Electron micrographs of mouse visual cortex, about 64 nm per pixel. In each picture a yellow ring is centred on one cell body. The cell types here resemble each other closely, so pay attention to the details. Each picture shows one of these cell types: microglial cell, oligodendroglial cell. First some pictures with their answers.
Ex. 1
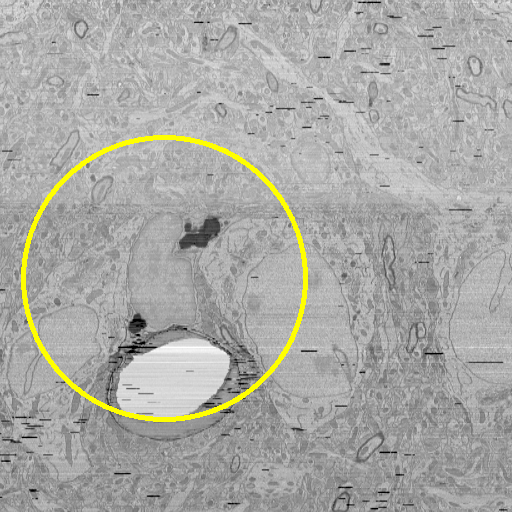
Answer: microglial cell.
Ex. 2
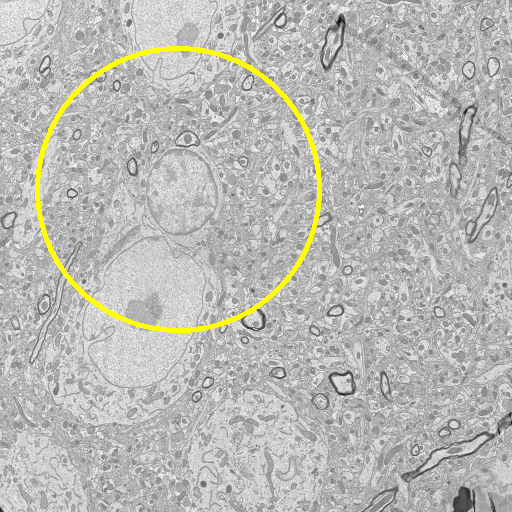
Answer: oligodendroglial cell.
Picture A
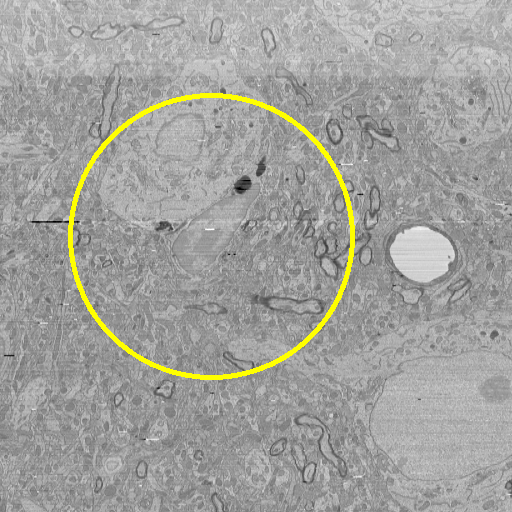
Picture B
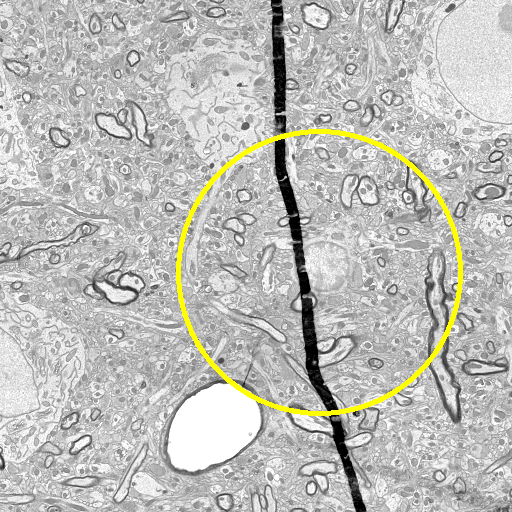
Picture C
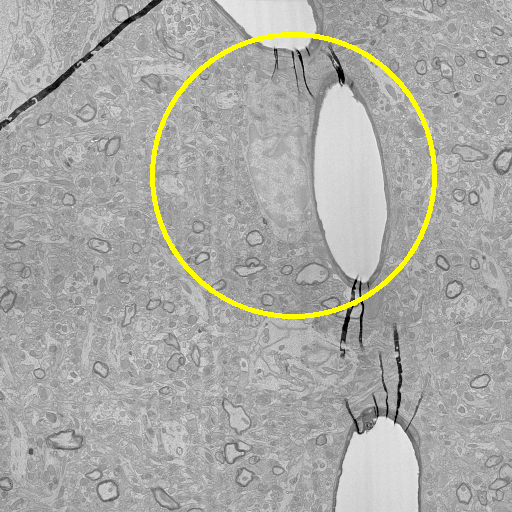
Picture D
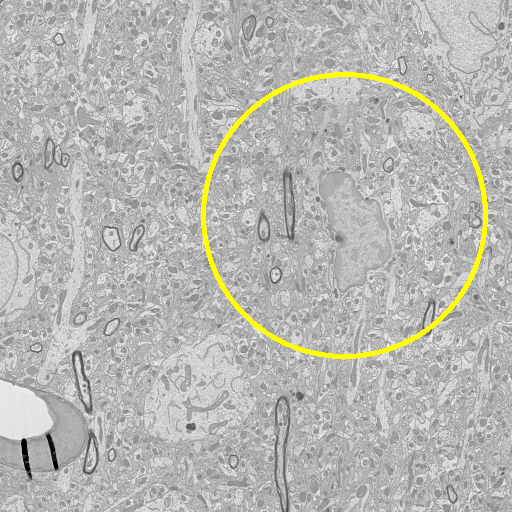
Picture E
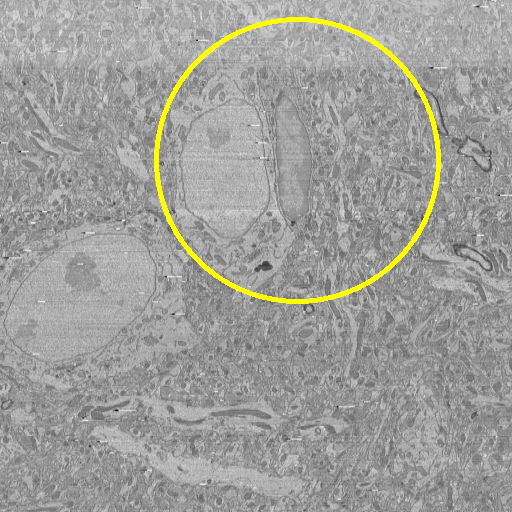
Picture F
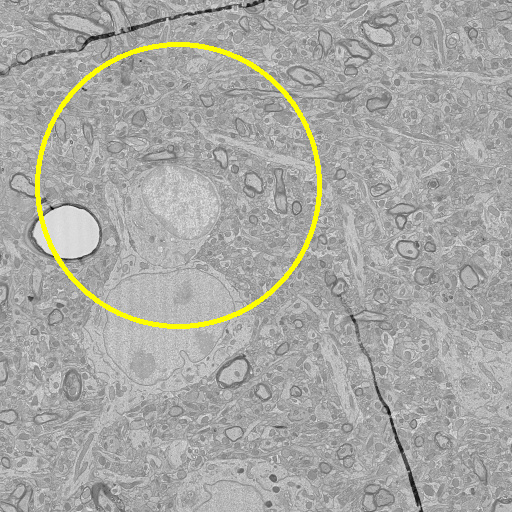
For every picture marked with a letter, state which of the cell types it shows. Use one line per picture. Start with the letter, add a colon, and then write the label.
A: microglial cell.
B: oligodendroglial cell.
C: oligodendroglial cell.
D: microglial cell.
E: microglial cell.
F: oligodendroglial cell.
